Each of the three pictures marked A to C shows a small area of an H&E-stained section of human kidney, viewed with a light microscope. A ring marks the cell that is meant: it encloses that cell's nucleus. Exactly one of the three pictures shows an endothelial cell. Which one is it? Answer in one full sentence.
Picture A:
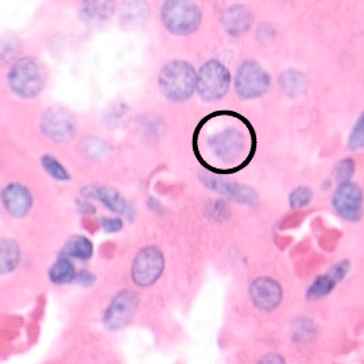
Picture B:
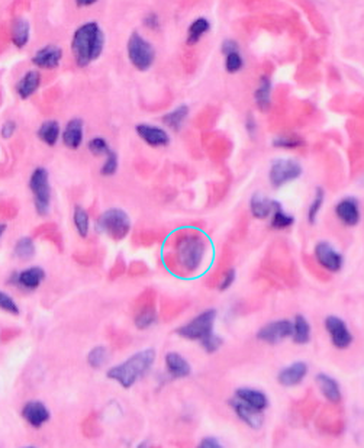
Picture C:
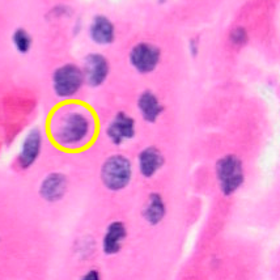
Picture B is the one that shows the endothelial cell.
